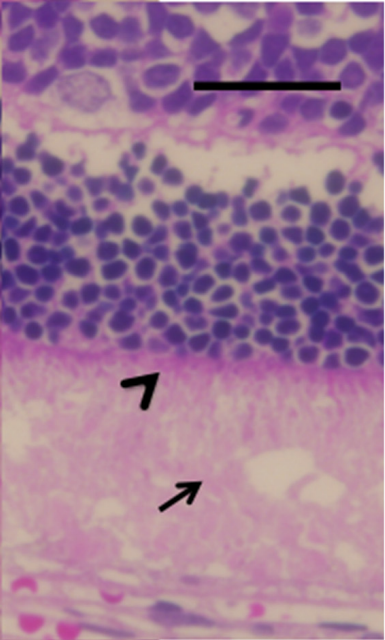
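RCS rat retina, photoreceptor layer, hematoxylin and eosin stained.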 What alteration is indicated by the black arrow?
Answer: extracellular lamellar material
